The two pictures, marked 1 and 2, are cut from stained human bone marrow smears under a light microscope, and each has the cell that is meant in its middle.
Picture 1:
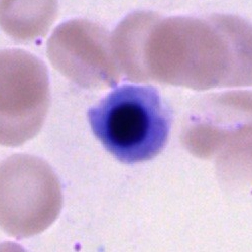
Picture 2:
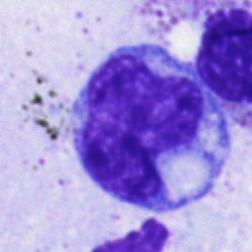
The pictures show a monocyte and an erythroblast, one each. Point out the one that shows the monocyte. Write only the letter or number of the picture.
2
